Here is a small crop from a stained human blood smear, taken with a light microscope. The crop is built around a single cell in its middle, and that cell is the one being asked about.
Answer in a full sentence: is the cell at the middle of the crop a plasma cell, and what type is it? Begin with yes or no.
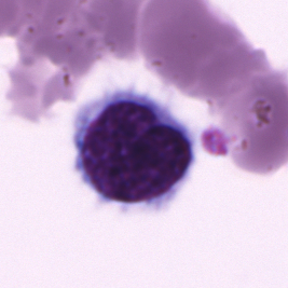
No, calling it a plasma cell is wrong; the middle cell is a hairy cell.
